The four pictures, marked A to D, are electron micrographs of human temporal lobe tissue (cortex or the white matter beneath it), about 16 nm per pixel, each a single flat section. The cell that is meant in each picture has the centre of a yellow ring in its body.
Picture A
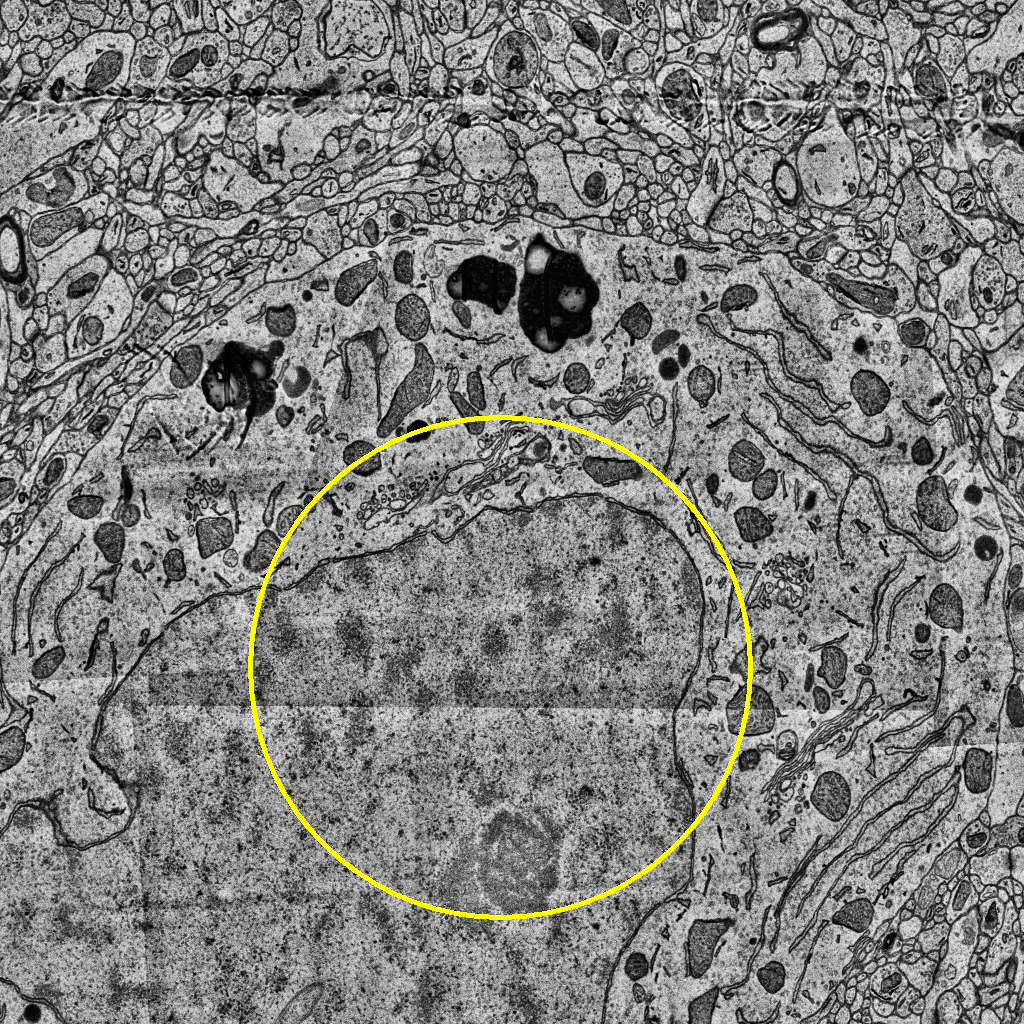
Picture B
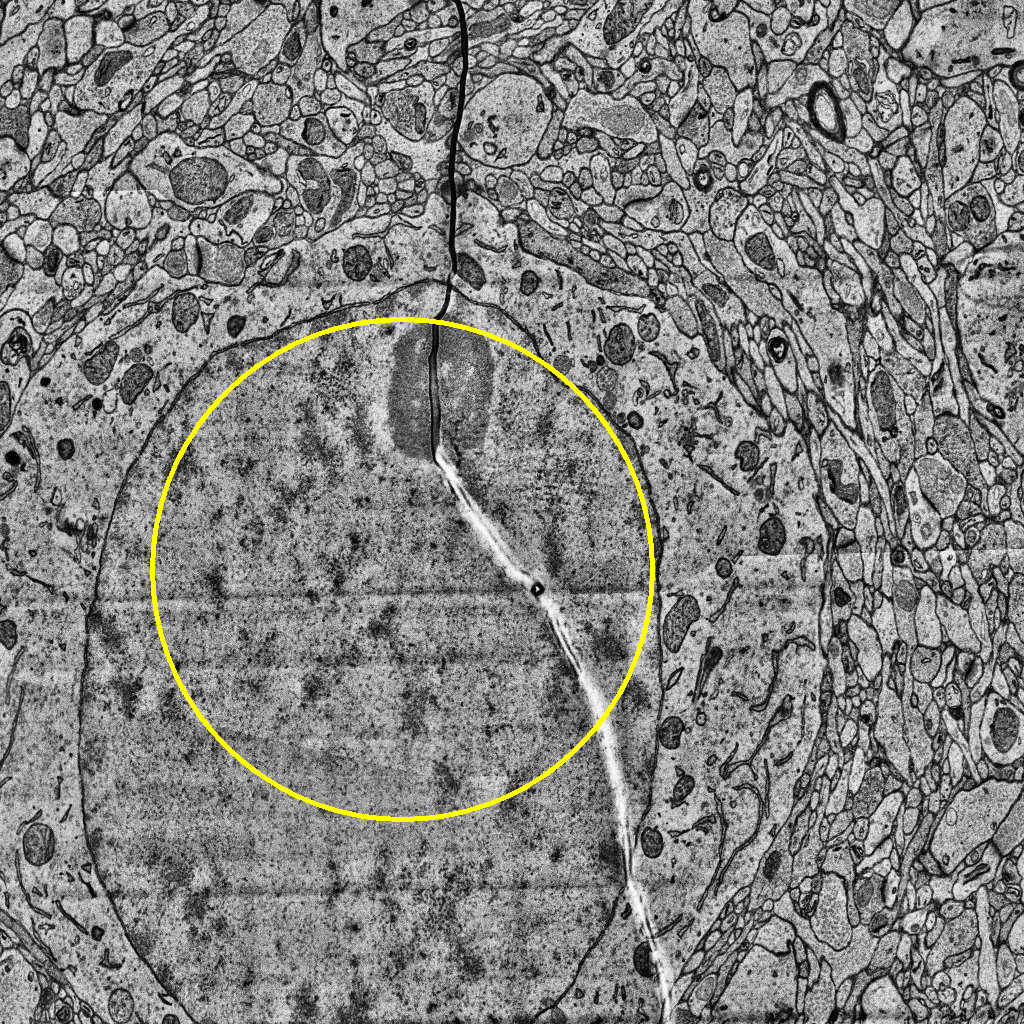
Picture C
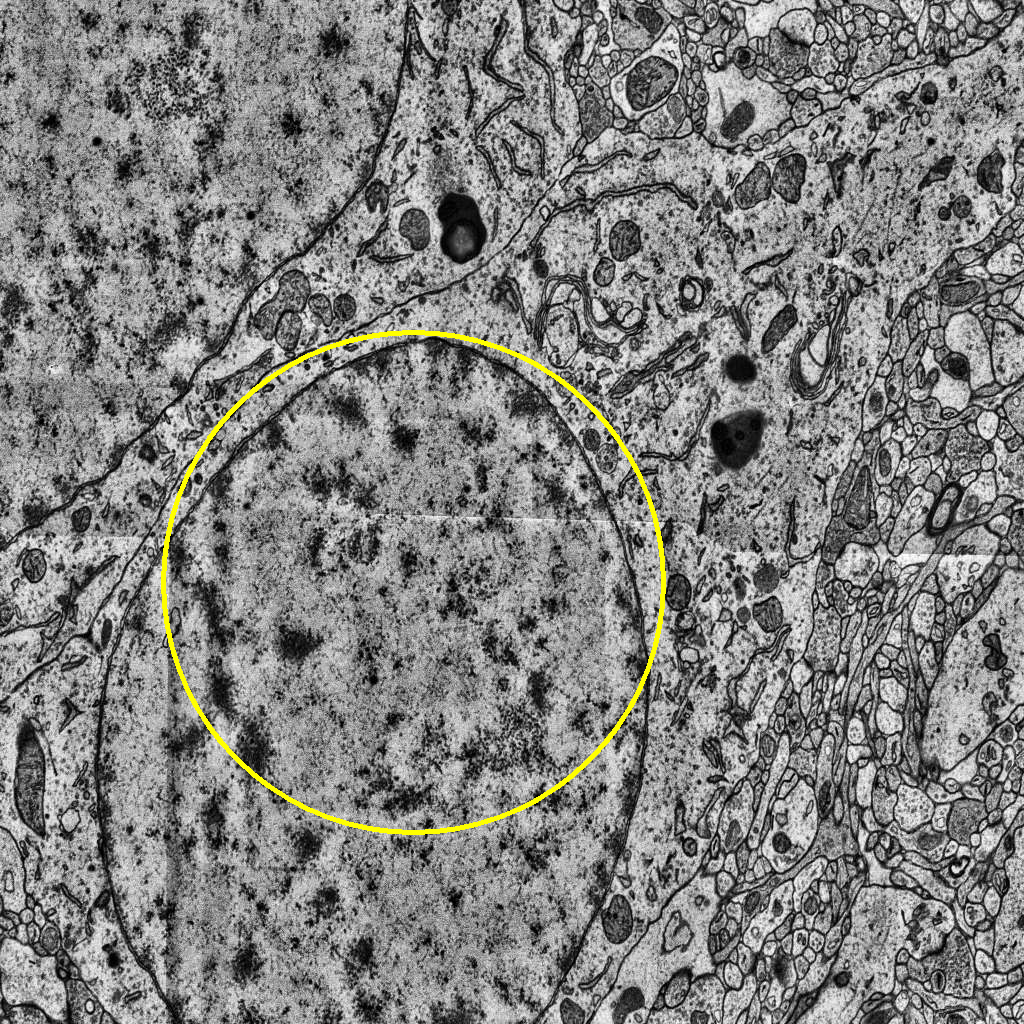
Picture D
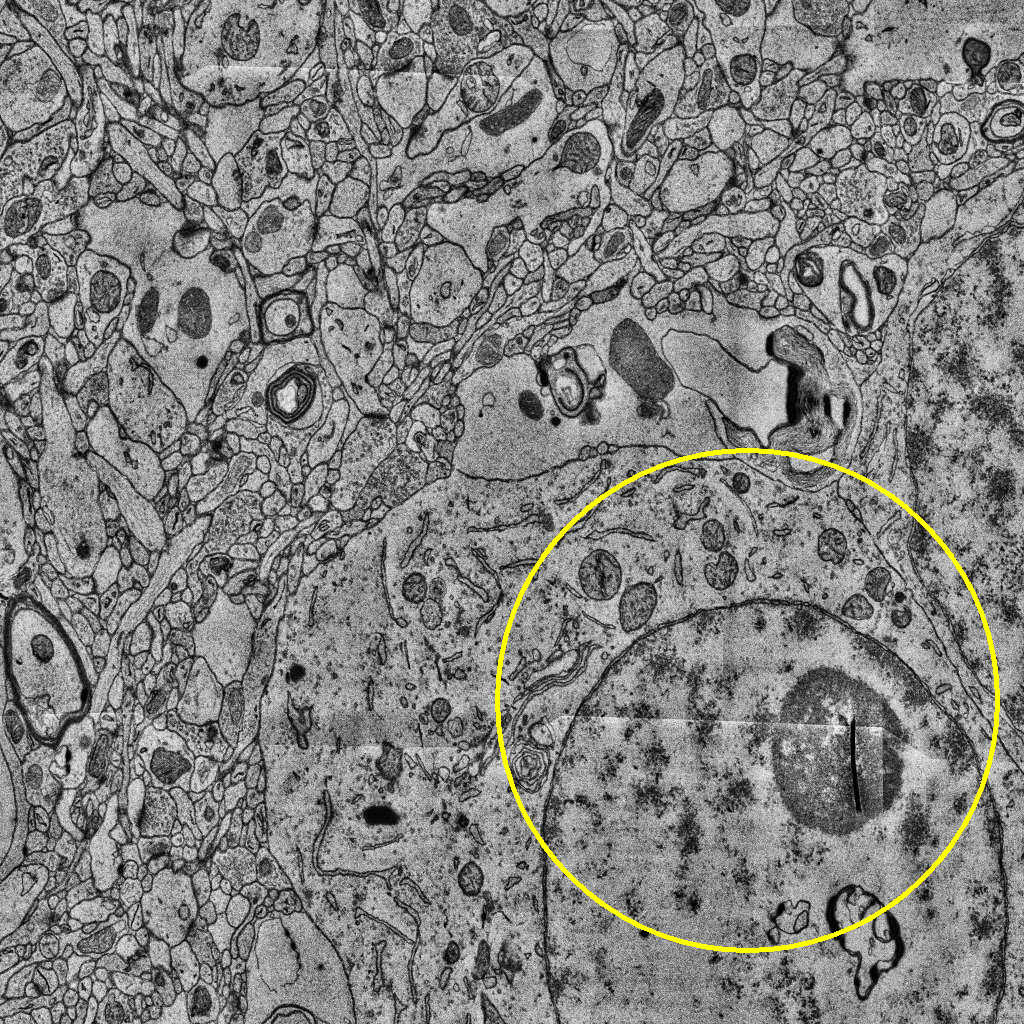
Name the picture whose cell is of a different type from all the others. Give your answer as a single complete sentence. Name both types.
Picture A is the odd one out: it shows an interneuron, while the others show pyramidal neurons.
